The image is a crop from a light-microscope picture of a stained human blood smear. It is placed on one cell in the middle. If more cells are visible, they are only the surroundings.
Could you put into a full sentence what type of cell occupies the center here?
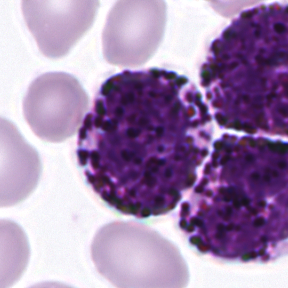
Seen at the centre of the crop is a basophil.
